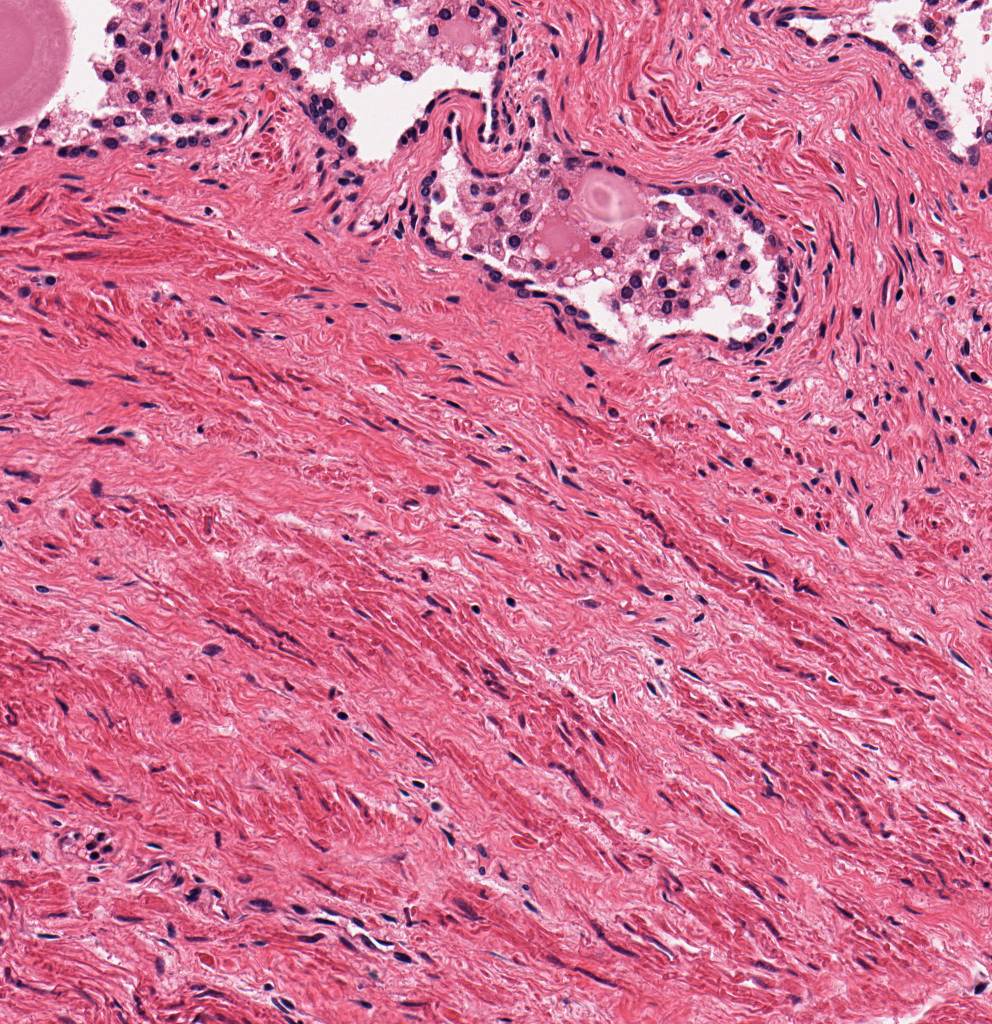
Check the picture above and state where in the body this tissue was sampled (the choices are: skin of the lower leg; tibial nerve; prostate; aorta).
prostate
